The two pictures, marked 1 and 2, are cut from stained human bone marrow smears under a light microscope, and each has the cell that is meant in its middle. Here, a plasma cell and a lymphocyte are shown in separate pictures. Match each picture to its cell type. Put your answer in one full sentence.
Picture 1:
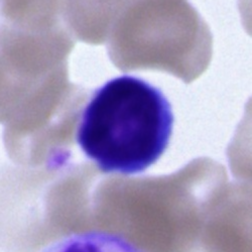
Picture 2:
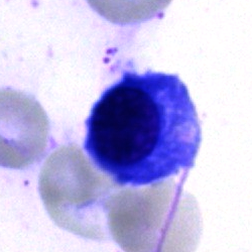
Picture 2 shows a plasma cell, while picture 1 shows a lymphocyte.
